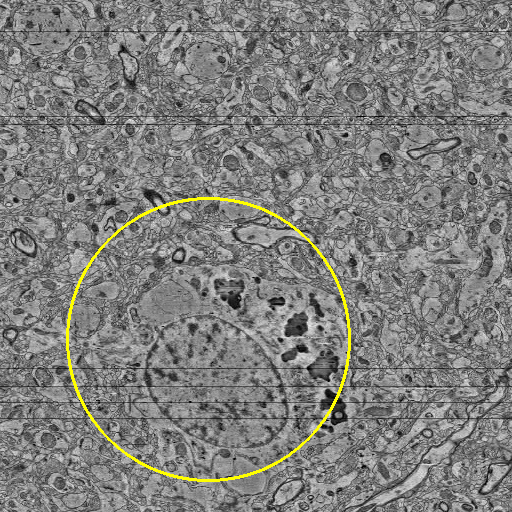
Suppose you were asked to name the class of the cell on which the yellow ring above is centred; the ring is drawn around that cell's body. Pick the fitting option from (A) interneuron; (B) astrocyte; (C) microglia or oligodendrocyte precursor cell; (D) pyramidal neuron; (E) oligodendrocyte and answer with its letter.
B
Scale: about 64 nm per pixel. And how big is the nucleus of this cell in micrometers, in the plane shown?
The nucleus is approximately 10 micrometers long by 7 micrometers wide in this plane.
